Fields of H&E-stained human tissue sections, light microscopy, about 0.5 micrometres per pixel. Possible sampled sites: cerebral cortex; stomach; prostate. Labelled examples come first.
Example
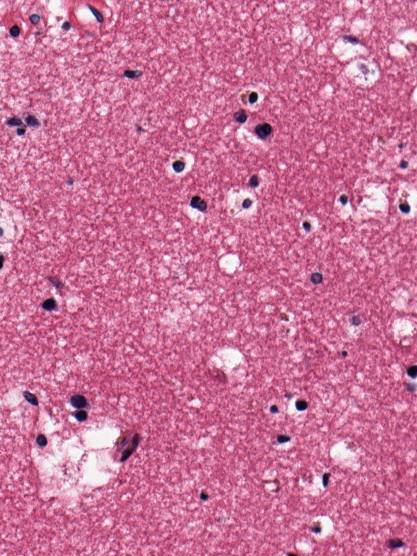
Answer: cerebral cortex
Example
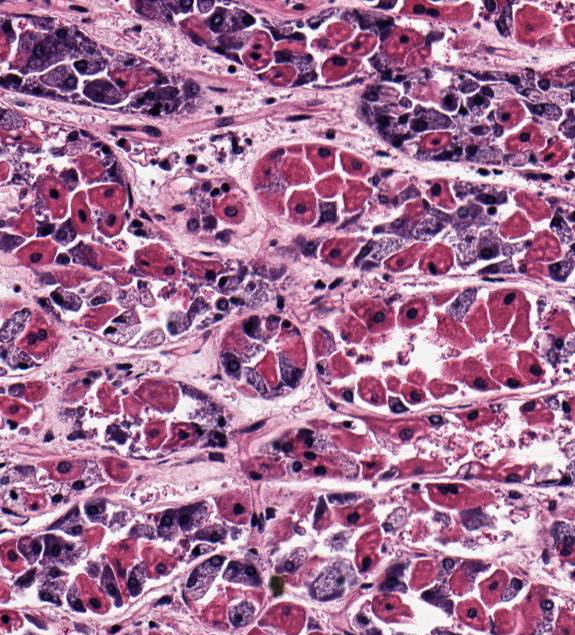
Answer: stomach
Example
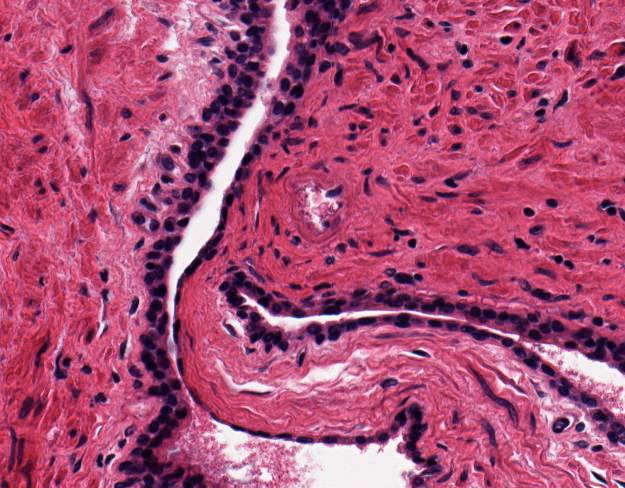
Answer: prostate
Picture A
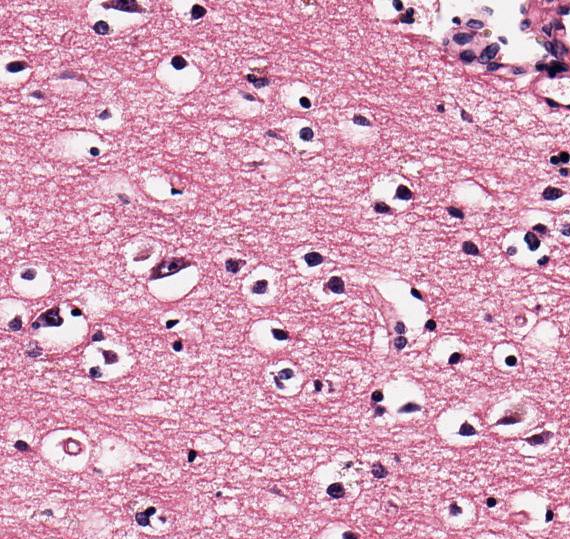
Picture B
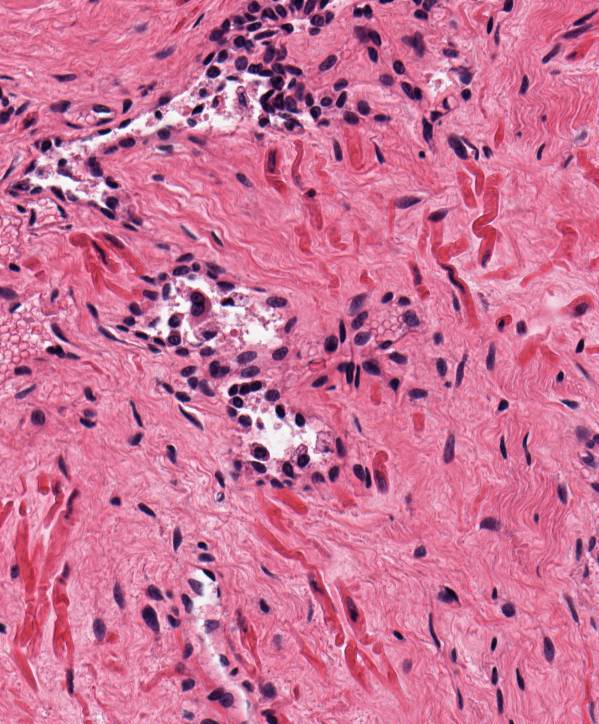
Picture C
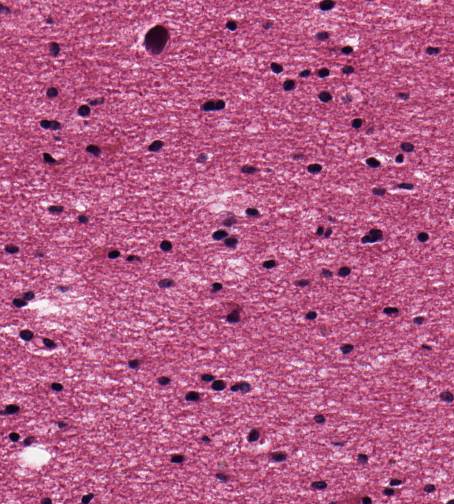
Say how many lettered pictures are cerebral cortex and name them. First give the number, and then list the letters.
2: A, C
